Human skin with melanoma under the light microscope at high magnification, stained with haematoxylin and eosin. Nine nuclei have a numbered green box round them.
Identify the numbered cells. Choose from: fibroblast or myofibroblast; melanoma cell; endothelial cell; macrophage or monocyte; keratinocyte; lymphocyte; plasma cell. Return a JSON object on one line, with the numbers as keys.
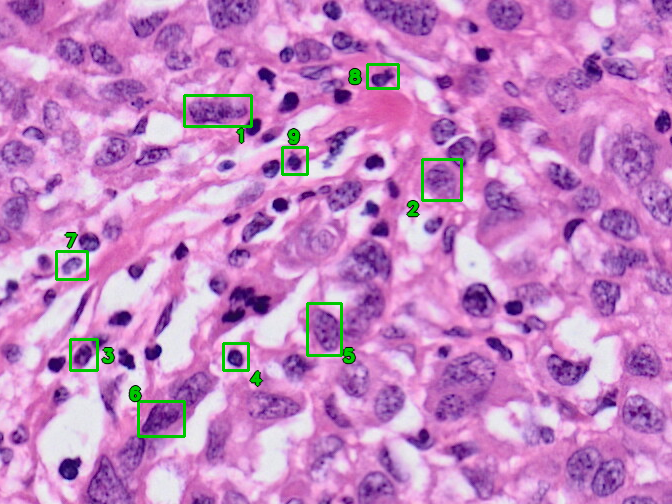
{"1": "melanoma cell", "2": "melanoma cell", "3": "plasma cell", "4": "lymphocyte", "5": "melanoma cell", "6": "melanoma cell", "7": "lymphocyte", "8": "lymphocyte", "9": "lymphocyte"}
